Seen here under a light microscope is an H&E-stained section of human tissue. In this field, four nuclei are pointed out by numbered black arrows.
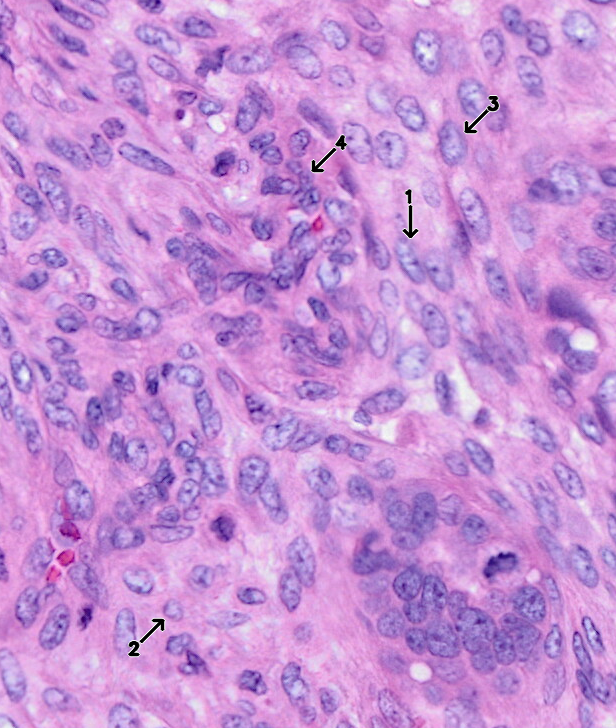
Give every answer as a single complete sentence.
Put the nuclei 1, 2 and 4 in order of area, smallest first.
By area, going up from the smallest, they rank 4, 2, 1.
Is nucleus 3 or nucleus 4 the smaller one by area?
Nucleus 4 covers less area, with nucleus 3 about 4 times as large.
